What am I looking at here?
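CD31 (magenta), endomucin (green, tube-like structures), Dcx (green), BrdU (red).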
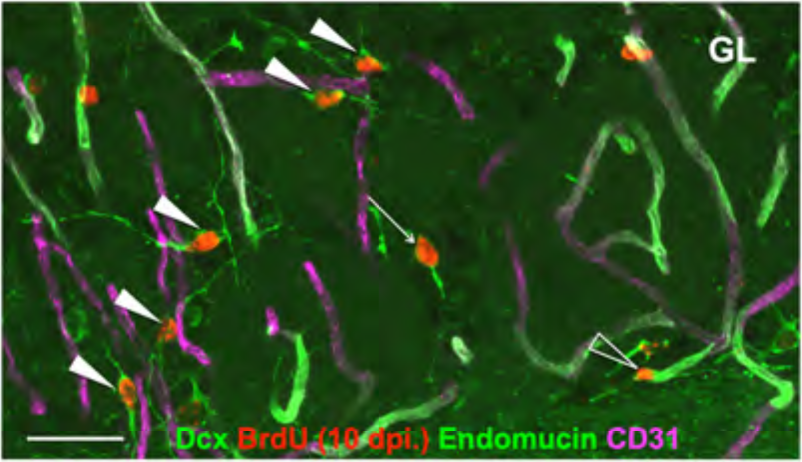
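A network of thin tubular blood vessels crosses the field, some appearing magenta, some green and some pale where both colours overlap. Scattered among them are small oval cells with red nuclei, several of which sit directly against the magenta vessels and send out fine green processes along them. One red-nucleated cell lies apart from any vessel, and another lies beside a pale green vessel.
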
